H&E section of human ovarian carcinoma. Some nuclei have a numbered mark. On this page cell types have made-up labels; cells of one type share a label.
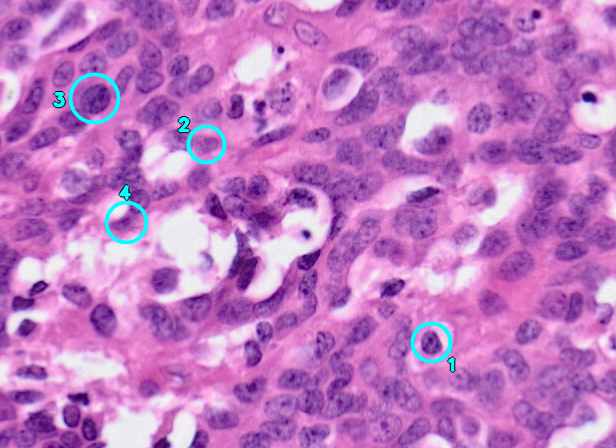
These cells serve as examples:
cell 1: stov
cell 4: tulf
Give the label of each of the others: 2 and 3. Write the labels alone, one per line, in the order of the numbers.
tulf
tulf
